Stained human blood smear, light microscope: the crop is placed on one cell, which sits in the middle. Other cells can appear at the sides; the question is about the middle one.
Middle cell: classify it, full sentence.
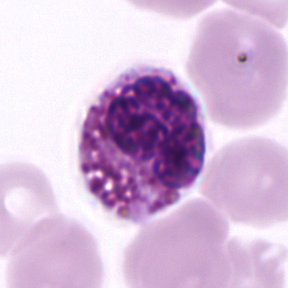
Framed in the middle of the crop is an eosinophil.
